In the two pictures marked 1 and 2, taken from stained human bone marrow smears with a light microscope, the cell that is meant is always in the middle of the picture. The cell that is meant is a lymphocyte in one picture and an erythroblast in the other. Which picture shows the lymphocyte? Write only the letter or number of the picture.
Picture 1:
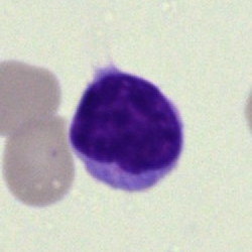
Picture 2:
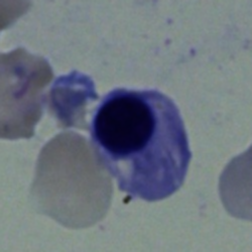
1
